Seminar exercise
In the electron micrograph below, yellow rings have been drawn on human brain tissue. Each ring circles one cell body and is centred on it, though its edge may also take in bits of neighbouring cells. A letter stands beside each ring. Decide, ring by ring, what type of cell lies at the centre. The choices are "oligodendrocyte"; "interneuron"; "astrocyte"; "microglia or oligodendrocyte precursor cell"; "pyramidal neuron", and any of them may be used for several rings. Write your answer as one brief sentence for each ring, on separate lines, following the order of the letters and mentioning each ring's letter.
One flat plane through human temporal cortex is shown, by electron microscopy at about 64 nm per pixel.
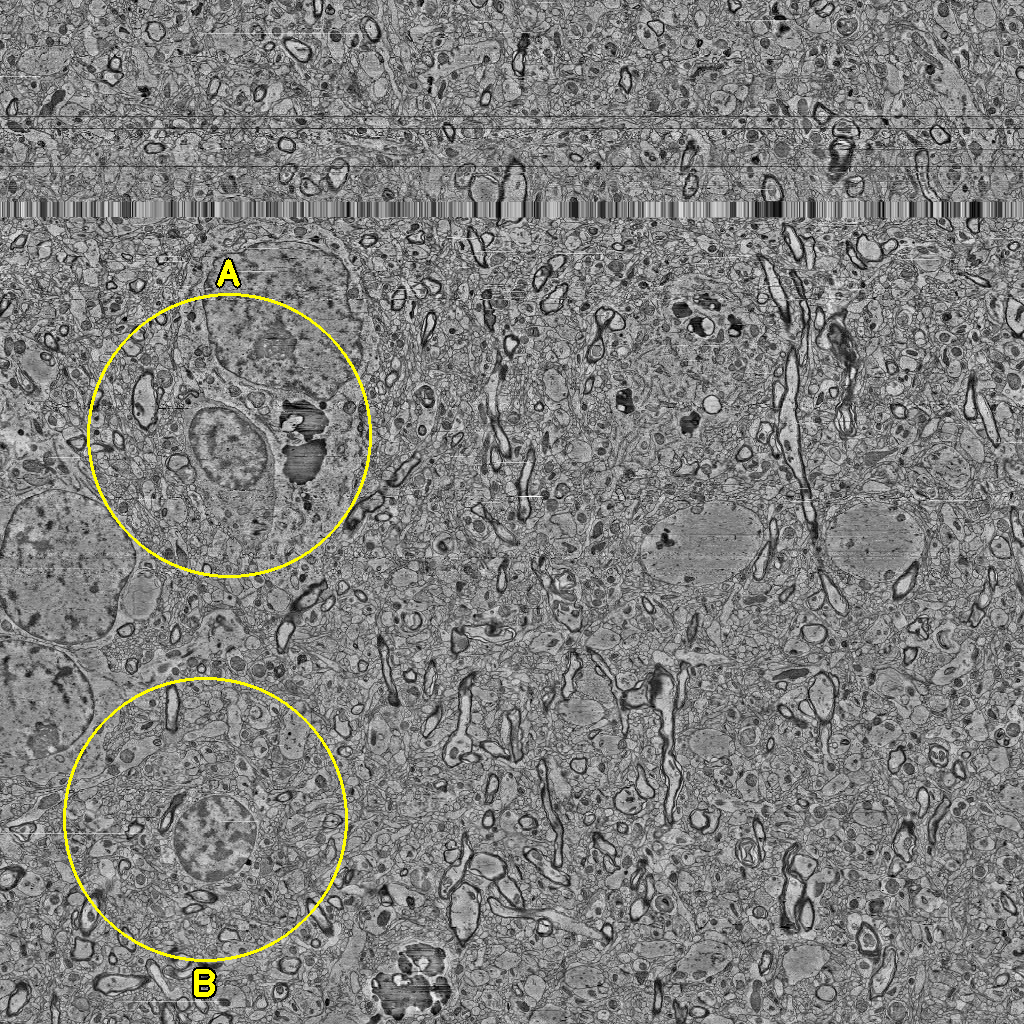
The cell in the middle of ring A is an oligodendrocyte.
The cell in the middle of ring B is a microglial cell or oligodendrocyte precursor cell.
